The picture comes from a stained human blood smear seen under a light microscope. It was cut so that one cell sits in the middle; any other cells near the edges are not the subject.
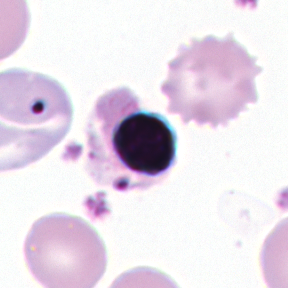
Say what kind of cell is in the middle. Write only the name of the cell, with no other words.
normoblast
